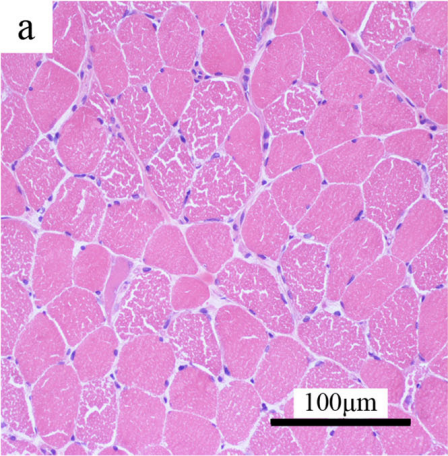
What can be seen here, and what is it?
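Transverse section of skeletal muscle showing closely packed polygonal muscle fibres with pink cytoplasm that vary mildly in size. Small dark purple nuclei lie at the periphery of the fibres, beneath the cell membrane, and in the thin pale connective tissue between fibres. Many fibres contain small clear slit-like or rounded vacuoles scattered through their cytoplasm, giving them a cracked, lacy look, while other fibres appear more uniform and solid pink. The fibres are arranged side by side without obvious inflammation or large gaps between them.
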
